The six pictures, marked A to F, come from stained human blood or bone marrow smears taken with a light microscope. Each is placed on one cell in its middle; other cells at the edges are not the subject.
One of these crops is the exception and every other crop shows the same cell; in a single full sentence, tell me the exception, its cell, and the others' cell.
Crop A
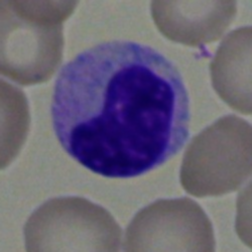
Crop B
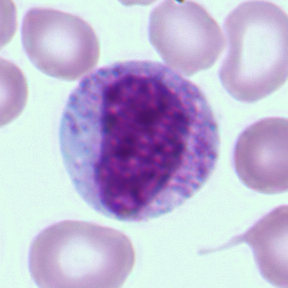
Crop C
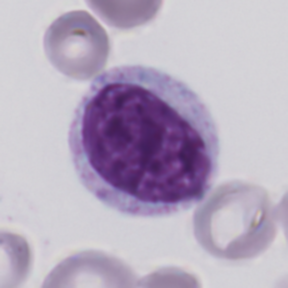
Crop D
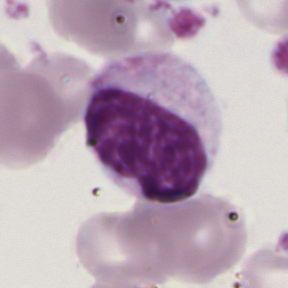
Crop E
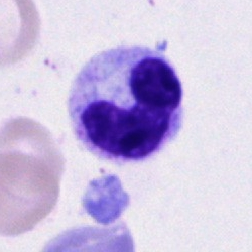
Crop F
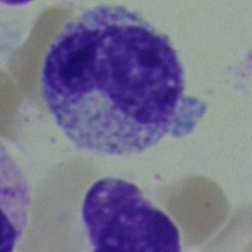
Crop E, showing a band neutrophil, is the exception; the others all show metamyelocytes.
